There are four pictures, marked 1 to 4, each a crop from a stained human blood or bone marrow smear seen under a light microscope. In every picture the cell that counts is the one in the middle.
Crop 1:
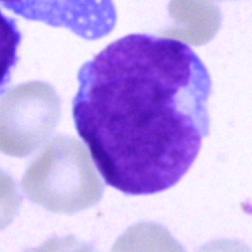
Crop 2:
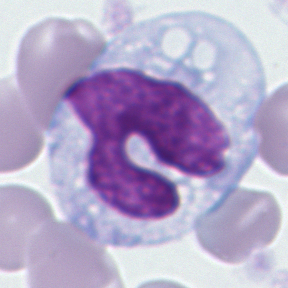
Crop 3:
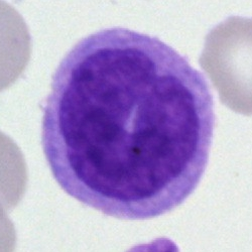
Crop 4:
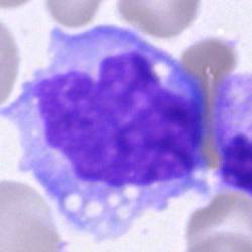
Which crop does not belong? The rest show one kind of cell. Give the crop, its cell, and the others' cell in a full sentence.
Crop 1 shows a blast, while all of the others show monocytes.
